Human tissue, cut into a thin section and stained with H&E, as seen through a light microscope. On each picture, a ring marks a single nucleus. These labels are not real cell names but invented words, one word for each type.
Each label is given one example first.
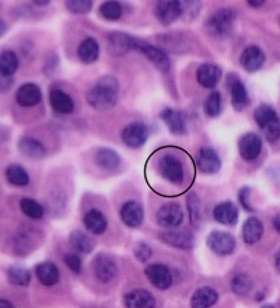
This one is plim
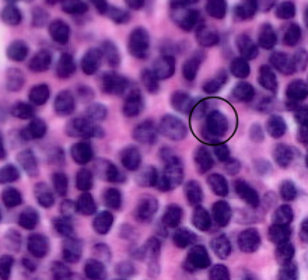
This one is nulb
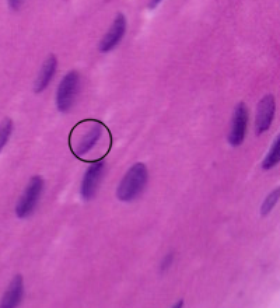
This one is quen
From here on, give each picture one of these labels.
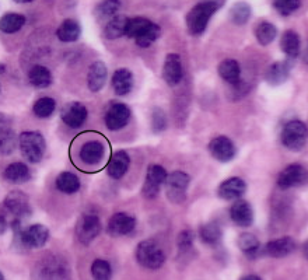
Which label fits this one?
plim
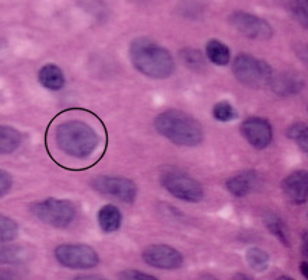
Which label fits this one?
quen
